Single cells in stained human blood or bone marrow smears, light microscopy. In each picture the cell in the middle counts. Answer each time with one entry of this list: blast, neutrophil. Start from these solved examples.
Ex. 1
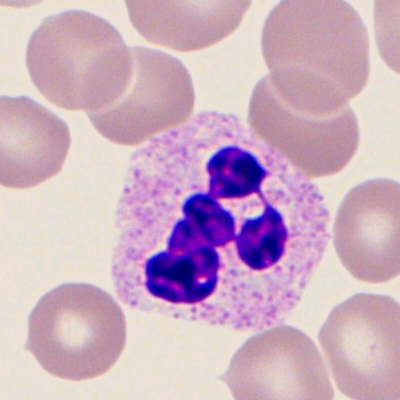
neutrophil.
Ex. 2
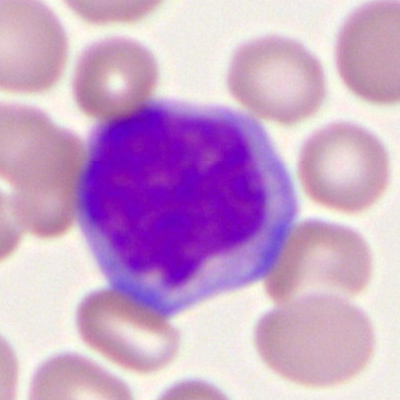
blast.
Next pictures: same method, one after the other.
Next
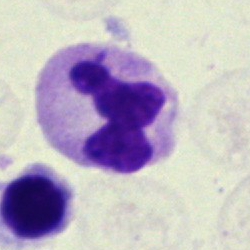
neutrophil.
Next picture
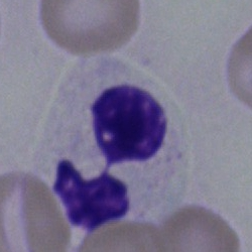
neutrophil.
